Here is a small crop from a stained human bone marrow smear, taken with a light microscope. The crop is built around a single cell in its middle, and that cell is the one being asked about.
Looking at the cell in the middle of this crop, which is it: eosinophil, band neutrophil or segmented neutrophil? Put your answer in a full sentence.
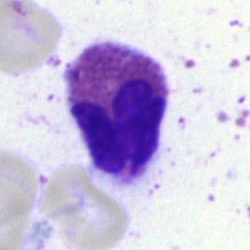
The cell in the middle of this crop is an eosinophil.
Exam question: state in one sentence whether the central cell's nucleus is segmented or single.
The nucleus is segmented, with two or more lobes present.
